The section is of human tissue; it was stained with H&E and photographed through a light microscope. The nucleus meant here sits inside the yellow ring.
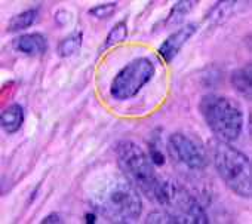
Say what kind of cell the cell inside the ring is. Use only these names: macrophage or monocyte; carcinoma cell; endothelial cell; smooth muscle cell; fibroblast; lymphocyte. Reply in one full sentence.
On this particular slide, the cell inside the ring is a macrophage or monocyte.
